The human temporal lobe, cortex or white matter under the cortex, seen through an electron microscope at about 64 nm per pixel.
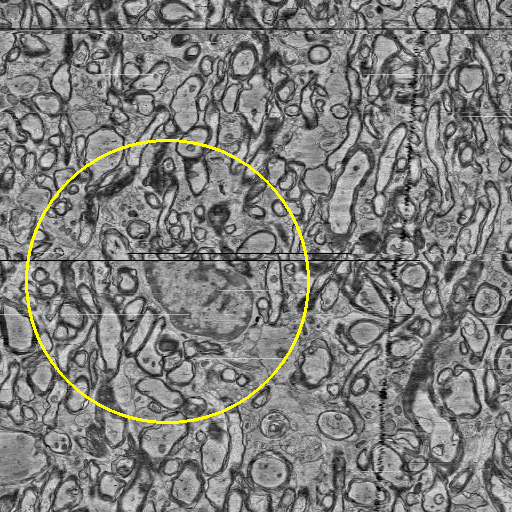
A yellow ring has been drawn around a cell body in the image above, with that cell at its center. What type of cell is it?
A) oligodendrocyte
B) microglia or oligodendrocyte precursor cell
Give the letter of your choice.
B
